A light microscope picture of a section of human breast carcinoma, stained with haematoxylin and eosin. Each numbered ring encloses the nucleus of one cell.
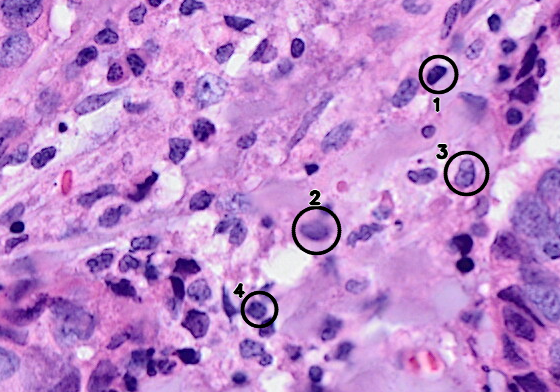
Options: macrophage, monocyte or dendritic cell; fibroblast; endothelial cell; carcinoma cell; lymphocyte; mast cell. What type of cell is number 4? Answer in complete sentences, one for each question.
That cell with number 4 is a lymphocyte.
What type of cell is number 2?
The cell referenced by the number 2 is a macrophage, monocyte or dendritic cell in this field.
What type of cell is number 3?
Among the marked nuclei, number 3 belongs to a macrophage, monocyte or dendritic cell.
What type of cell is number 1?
Cell number 1 in this section is a lymphocyte.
